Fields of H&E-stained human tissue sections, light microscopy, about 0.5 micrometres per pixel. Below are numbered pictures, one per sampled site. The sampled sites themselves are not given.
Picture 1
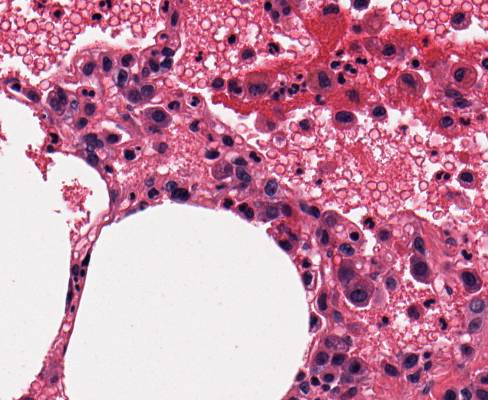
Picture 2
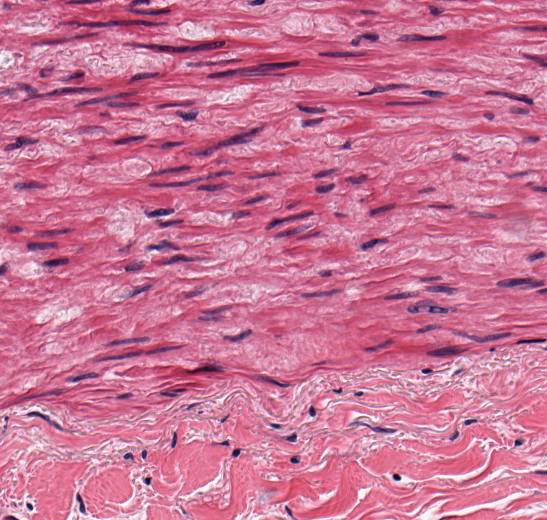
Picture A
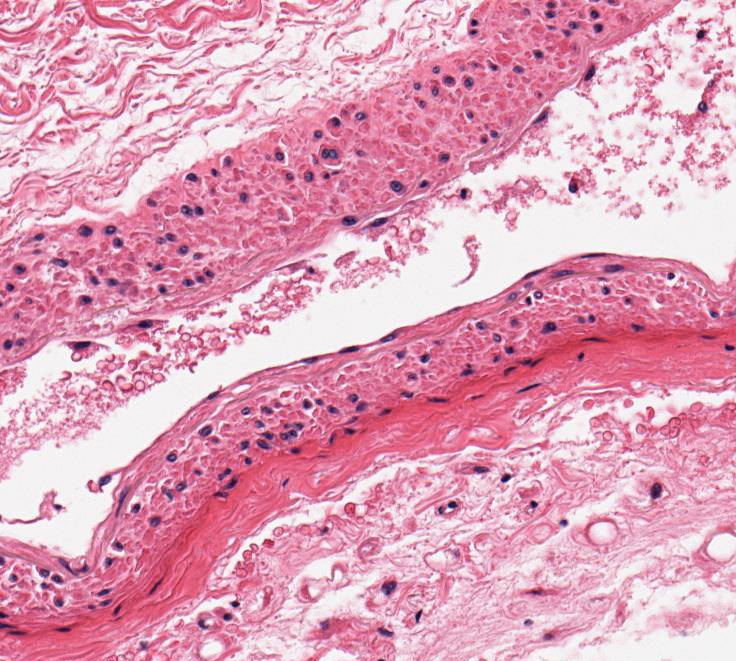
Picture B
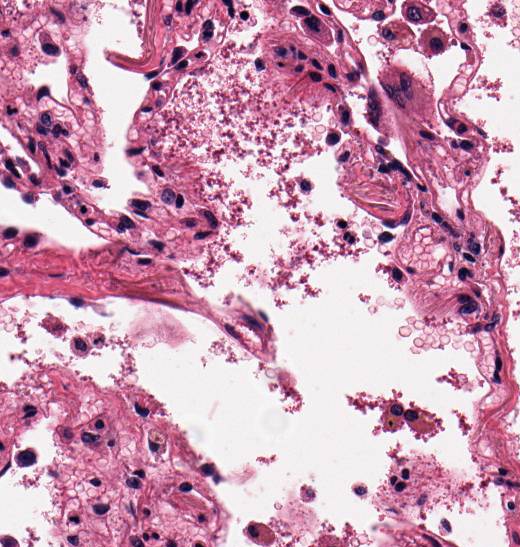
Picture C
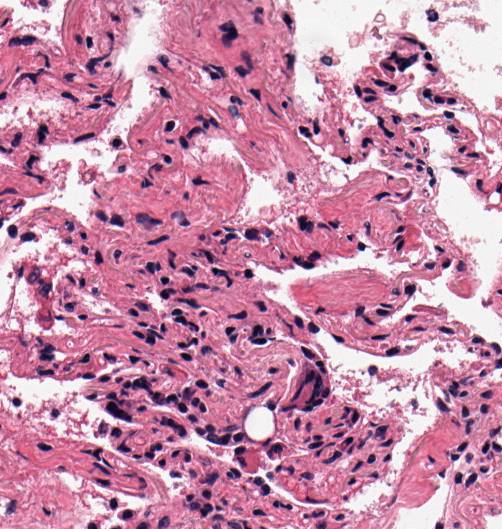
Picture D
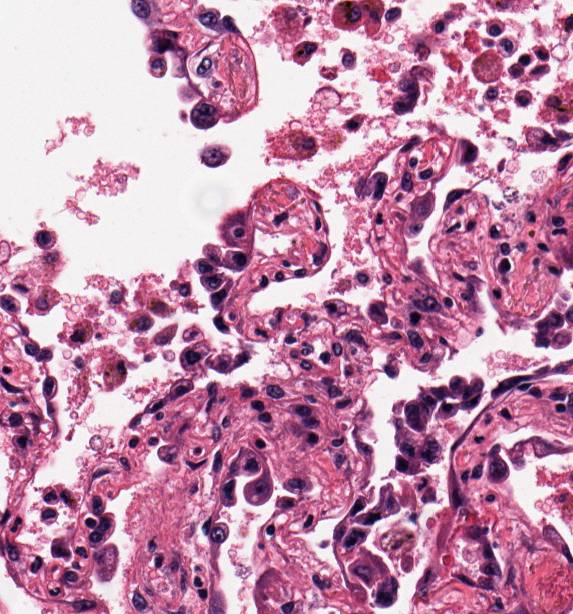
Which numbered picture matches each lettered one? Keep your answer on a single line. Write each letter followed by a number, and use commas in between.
A 2, B 1, C 1, D 1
